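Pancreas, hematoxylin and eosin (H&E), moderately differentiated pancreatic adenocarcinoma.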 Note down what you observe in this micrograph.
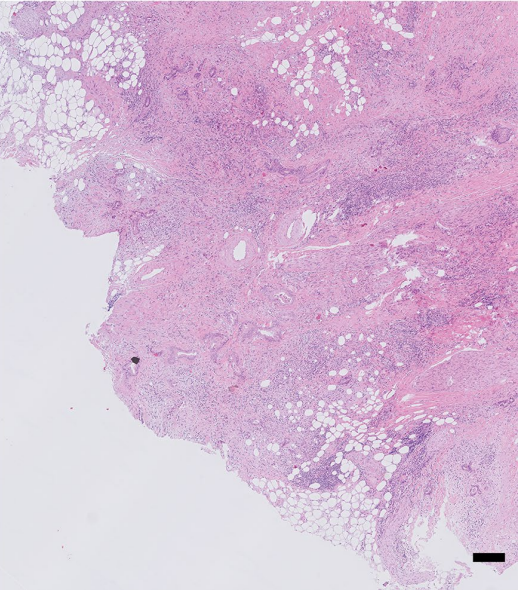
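This section shows tumor infiltrating into fat tissue. Pale pink fibrous stroma and denser purple cellular areas run through the section. Clusters of empty, round fat cells lie scattered among them, especially toward the upper left and lower edge.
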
